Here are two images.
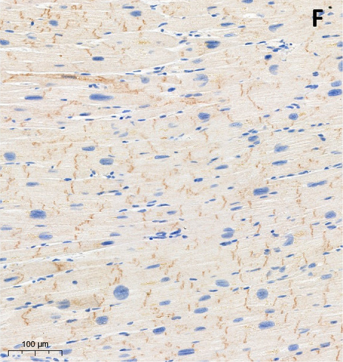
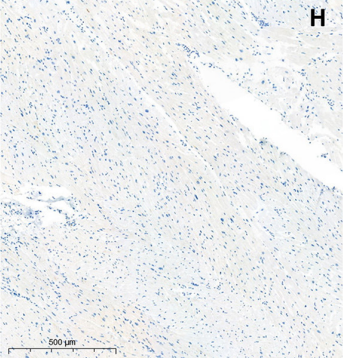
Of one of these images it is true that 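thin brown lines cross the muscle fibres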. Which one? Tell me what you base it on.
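Second image: the muscle is pale grey-beige with blue nuclei and no brown lines. First image: thin brown step-like lines cross many fibres.
Hence: the first image.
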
